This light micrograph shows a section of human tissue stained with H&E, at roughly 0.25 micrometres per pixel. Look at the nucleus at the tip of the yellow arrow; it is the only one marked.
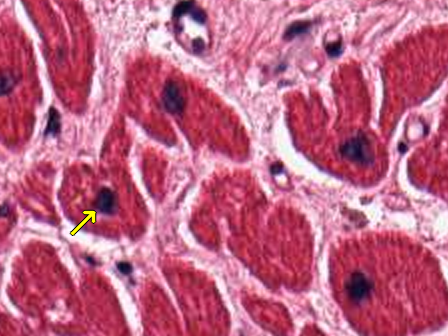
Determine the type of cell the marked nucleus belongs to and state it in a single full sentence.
Marked in this picture is the nucleus of a cardiomyocyte.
